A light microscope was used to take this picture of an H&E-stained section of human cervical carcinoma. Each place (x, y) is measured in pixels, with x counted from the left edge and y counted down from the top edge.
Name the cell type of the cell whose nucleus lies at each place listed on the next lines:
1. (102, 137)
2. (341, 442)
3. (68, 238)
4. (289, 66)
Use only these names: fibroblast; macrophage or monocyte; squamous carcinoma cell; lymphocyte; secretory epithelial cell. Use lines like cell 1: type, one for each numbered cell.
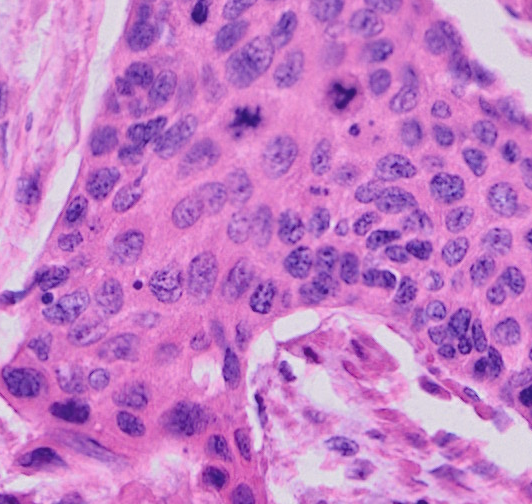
cell 1: squamous carcinoma cell
cell 2: fibroblast
cell 3: squamous carcinoma cell
cell 4: squamous carcinoma cell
